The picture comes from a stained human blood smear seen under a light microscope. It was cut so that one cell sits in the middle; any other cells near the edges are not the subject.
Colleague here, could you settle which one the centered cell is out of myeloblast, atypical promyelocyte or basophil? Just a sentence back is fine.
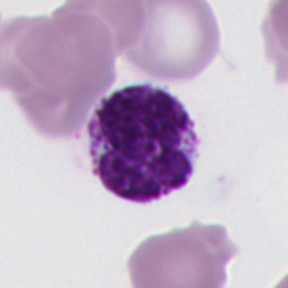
The cell under consideration, at the middle of the crop, is a basophil.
